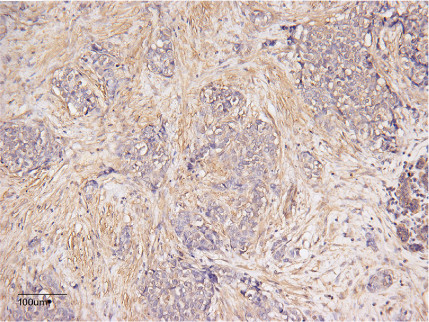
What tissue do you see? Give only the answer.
Cancer tissue.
